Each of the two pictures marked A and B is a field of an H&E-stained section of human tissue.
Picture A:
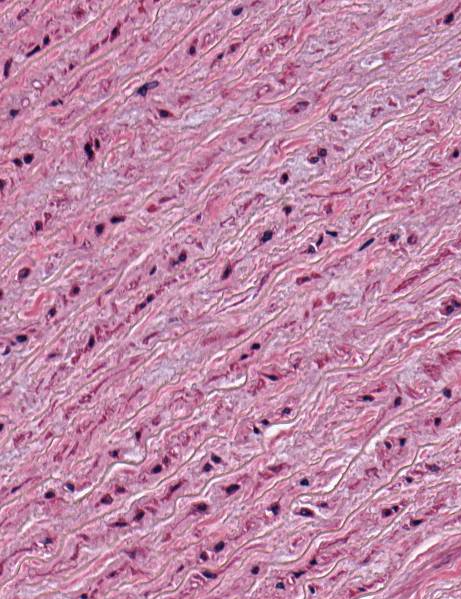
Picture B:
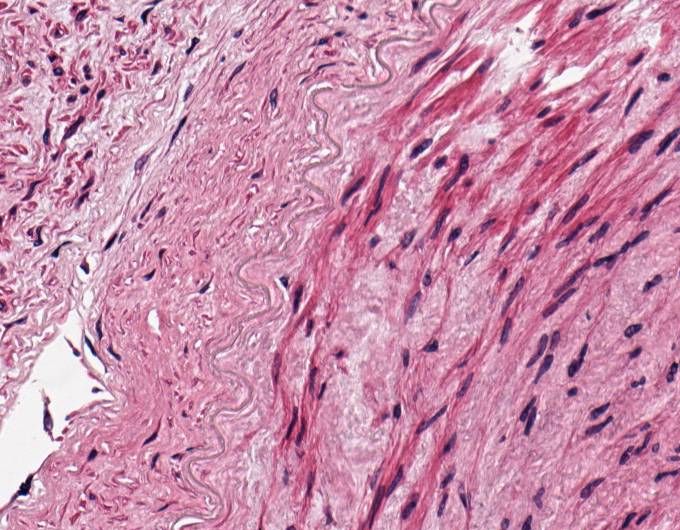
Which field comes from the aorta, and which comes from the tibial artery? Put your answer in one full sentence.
Picture A comes from the aorta and picture B comes from the tibial artery.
